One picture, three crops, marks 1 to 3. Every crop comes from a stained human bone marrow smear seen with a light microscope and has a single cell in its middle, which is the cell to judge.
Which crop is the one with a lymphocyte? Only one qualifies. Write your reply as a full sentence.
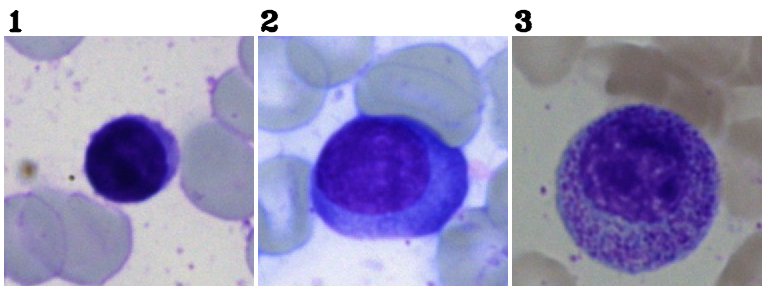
The requested cell, a lymphocyte, is the one in crop 1.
